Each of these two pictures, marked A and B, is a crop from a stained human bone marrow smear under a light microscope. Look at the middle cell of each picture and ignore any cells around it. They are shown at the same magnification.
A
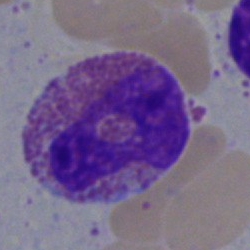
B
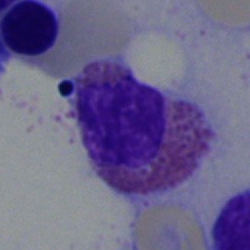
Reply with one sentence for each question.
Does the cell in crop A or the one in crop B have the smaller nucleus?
Crop B shows the smaller nucleus, since that in crop A covers about 2 times as much area.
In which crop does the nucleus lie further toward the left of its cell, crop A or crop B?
Seen within its cell, the nucleus in crop B lies further toward the left.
